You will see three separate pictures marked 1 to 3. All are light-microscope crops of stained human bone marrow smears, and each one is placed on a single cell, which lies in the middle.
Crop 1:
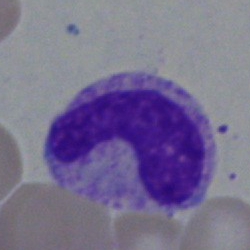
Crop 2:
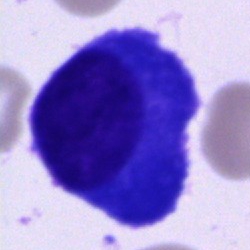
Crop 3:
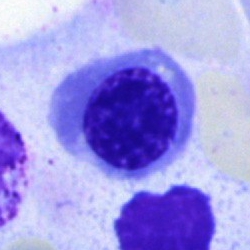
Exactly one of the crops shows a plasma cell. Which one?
2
